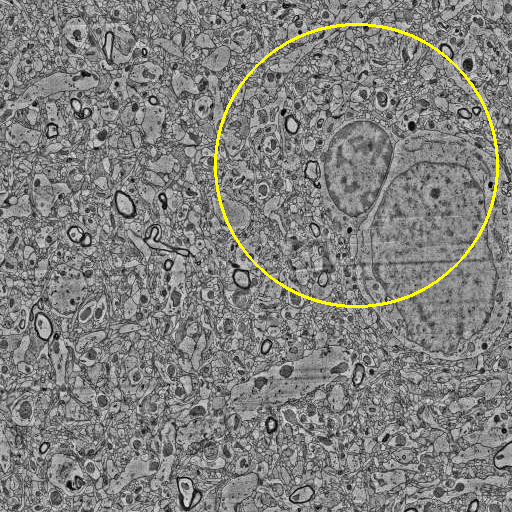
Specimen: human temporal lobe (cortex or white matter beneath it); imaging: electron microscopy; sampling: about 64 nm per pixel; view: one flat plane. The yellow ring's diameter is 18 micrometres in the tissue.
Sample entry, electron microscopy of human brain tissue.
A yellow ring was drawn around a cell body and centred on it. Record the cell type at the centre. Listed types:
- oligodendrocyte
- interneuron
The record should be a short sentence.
The cell at the ring's centre is an oligodendrocyte.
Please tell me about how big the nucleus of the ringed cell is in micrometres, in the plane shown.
In this plane the nucleus spans approximately 6 by 4 micrometers.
